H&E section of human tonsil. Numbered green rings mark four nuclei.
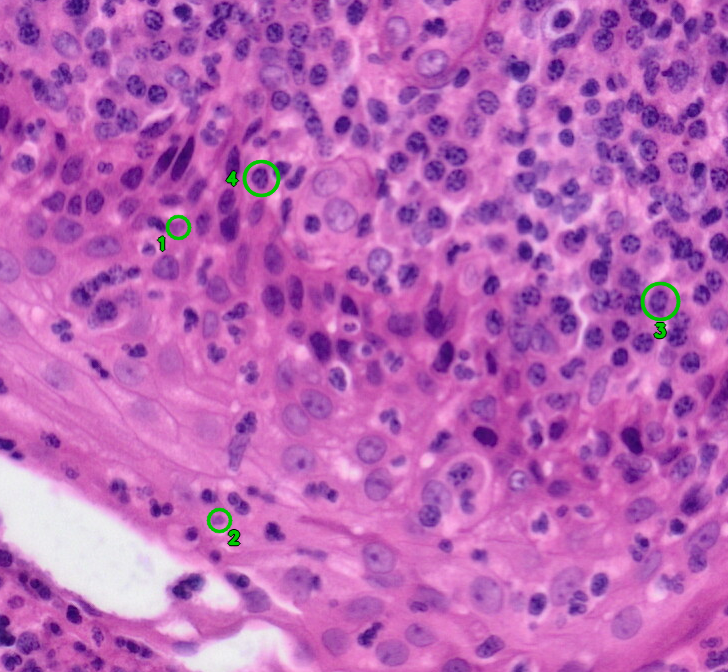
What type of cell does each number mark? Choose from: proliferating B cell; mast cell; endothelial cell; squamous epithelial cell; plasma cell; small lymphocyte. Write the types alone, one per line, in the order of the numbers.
squamous epithelial cell
squamous epithelial cell
plasma cell
plasma cell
